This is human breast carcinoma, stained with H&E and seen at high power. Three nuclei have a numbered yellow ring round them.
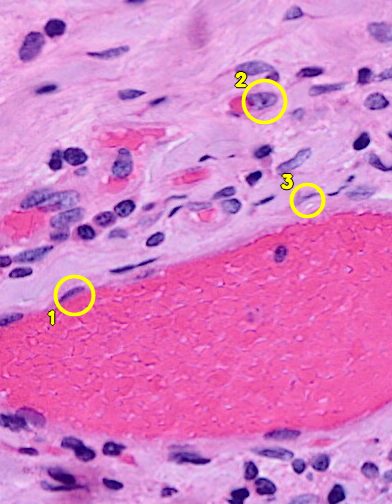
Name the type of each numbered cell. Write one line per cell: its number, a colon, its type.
1: endothelial cell
2: endothelial cell
3: fibroblast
